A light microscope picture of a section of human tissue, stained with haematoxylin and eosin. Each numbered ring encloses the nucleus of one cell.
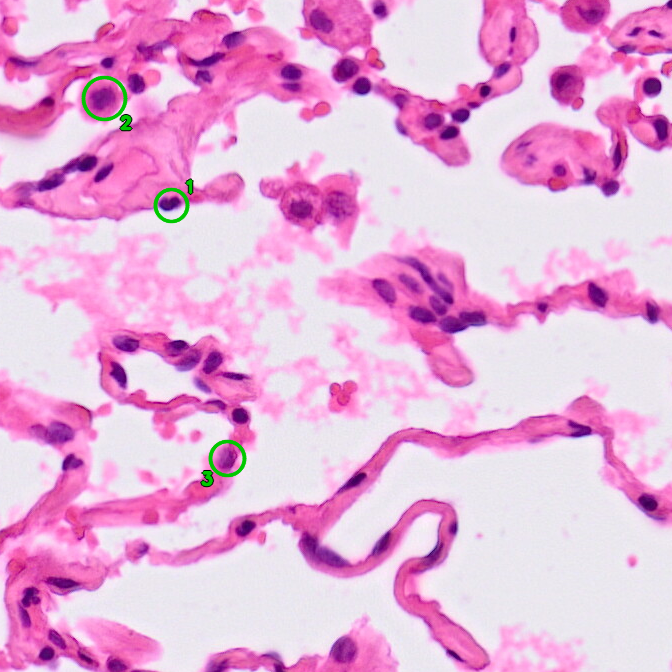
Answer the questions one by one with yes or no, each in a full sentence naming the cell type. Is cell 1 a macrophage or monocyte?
No, cell 1 is identified not as a macrophage or monocyte but as a type I pneumocyte.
